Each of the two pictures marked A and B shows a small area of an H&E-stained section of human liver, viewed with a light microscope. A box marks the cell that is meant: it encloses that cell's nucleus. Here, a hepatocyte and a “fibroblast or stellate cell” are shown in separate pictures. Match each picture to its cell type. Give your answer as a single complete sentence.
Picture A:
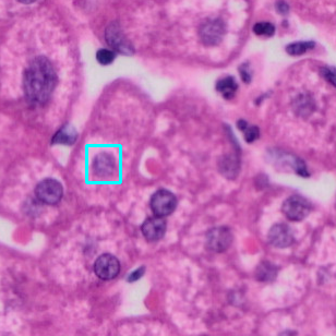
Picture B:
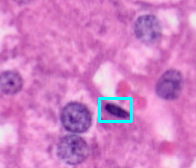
The cell in picture A is a hepatocyte, and the one in picture B is a “fibroblast or stellate cell”.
